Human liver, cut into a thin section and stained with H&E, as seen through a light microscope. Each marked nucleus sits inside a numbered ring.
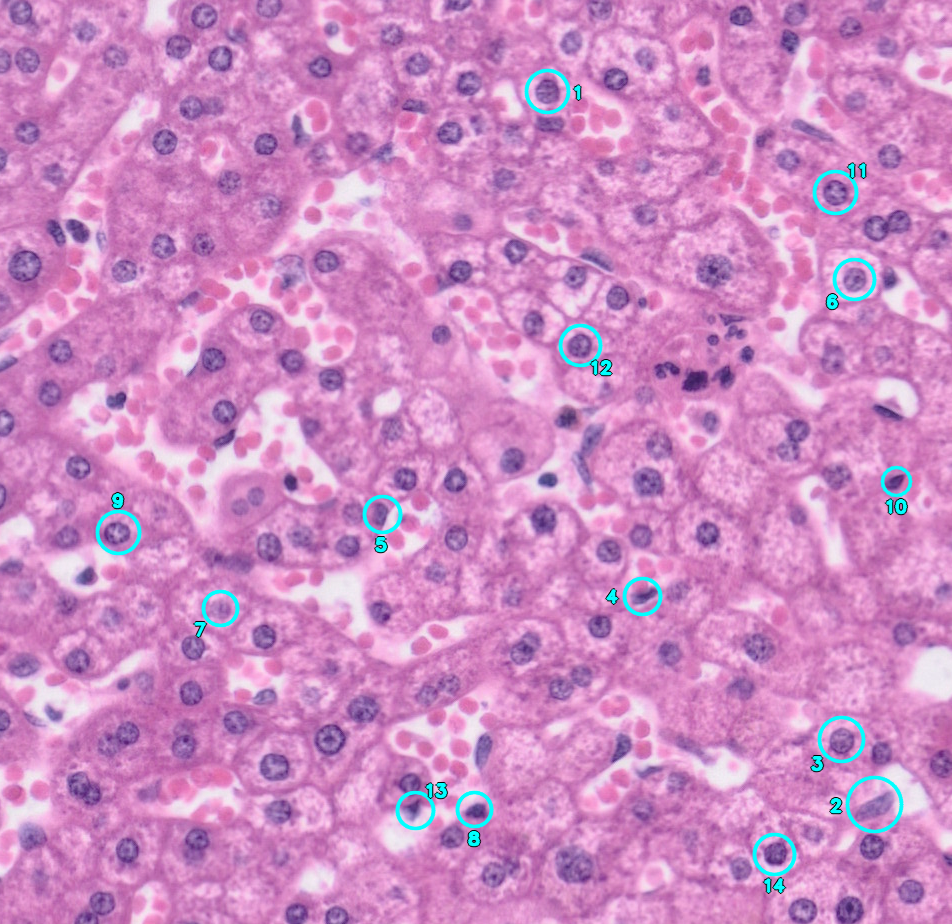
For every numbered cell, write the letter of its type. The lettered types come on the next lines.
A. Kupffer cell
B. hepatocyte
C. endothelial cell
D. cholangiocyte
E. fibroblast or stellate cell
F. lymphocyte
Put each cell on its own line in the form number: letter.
1: B
2: A
3: B
4: C
5: E
6: B
7: B
8: F
9: B
10: E
11: B
12: B
13: C
14: B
